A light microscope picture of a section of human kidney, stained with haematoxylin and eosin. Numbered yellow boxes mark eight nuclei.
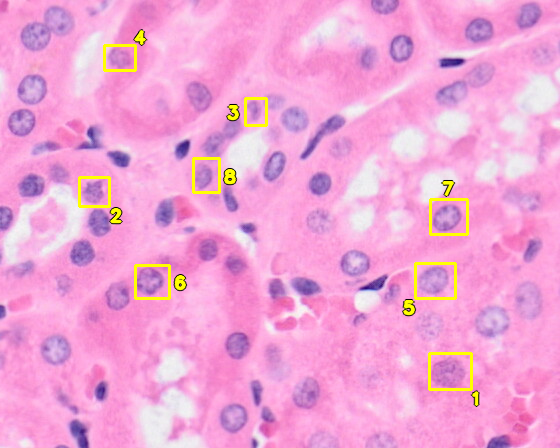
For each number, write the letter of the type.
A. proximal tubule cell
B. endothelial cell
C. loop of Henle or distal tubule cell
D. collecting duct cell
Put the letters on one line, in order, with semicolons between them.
A; C; D; A; A; A; A; D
